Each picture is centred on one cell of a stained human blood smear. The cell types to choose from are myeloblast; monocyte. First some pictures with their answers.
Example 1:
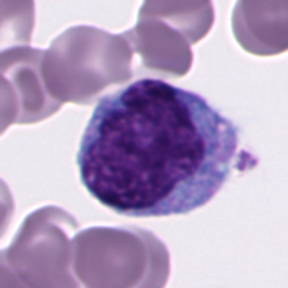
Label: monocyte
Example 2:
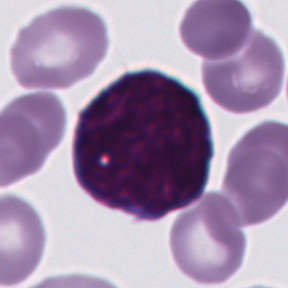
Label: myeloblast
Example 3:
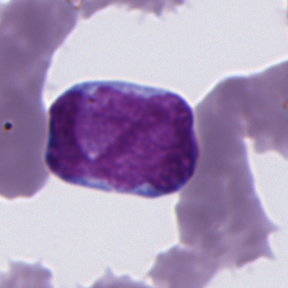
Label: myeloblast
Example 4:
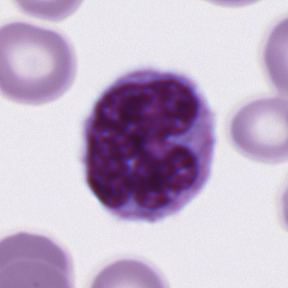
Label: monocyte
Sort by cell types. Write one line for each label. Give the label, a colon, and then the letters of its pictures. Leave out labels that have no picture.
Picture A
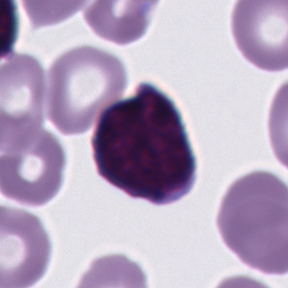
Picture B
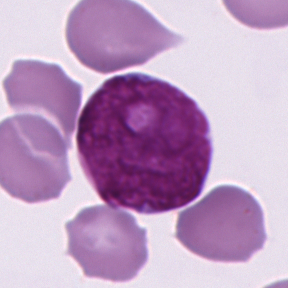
myeloblast: A, B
